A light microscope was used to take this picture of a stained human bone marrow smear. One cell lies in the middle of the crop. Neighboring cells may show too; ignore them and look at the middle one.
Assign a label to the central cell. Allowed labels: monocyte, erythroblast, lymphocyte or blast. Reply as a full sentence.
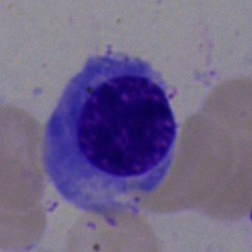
Classification of the middle cell gives an erythroblast.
